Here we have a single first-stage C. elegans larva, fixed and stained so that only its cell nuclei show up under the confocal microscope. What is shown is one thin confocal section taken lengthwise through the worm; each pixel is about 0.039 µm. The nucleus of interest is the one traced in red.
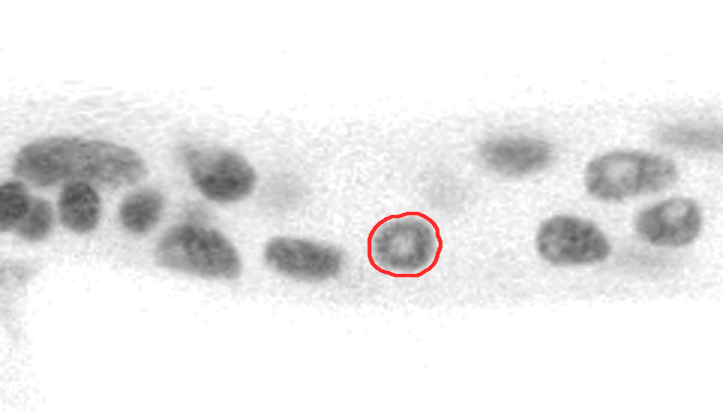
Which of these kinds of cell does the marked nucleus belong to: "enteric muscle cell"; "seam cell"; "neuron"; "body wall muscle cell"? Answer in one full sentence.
The cell with the marked nucleus is a seam cell.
